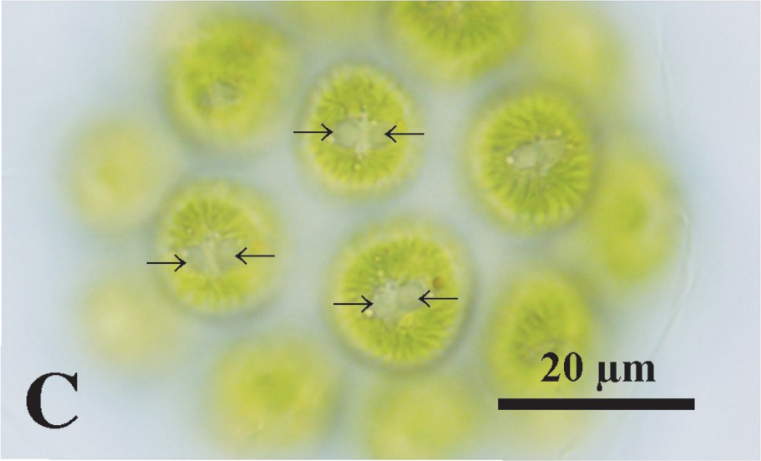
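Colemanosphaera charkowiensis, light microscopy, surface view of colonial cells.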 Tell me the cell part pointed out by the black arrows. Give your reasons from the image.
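Each arrow pair flanks a small clear, colourless space near the centre of a green cell. The clear spaces lie within the green cytoplasm of cells viewed face-on.
Conclusion: anterior contractile vacuoles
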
